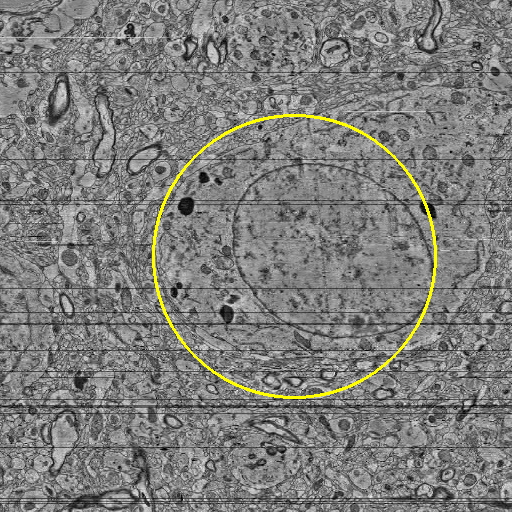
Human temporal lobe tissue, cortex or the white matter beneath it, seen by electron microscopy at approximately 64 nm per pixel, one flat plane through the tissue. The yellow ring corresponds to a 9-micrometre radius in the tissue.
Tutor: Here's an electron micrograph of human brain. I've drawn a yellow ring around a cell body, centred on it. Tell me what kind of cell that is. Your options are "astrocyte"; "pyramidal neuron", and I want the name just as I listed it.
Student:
pyramidal neuron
